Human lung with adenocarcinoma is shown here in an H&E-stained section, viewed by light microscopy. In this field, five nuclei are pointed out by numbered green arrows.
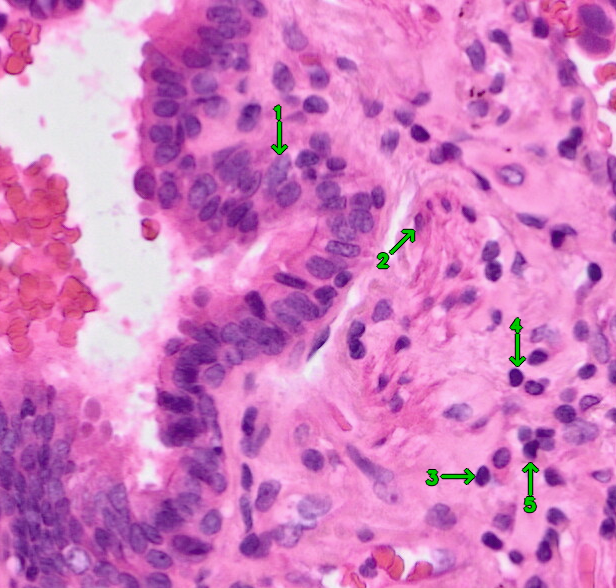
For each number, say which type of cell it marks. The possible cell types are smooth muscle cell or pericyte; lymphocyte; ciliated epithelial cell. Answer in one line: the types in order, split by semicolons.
ciliated epithelial cell; smooth muscle cell or pericyte; lymphocyte; lymphocyte; lymphocyte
